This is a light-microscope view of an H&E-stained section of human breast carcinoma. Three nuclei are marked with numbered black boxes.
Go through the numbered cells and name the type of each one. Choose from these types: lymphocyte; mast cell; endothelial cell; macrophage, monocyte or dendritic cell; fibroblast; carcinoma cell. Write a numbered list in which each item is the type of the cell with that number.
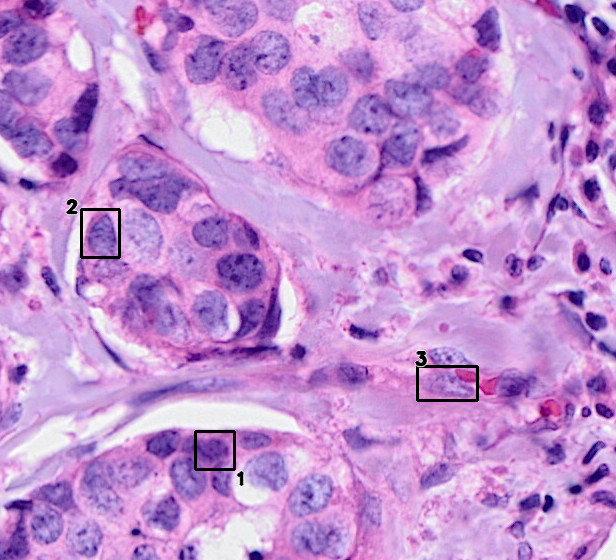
1. carcinoma cell
2. carcinoma cell
3. endothelial cell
